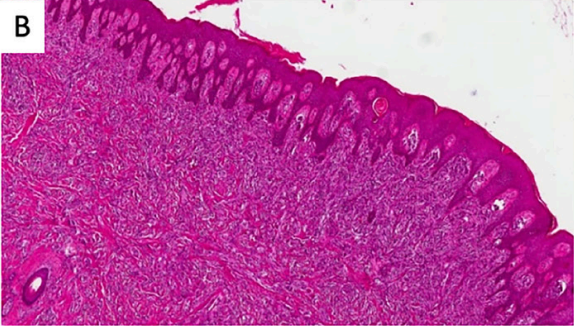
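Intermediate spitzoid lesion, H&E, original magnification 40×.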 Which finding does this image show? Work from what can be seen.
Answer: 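The epidermis along the top is thickened. Rete ridges are elongated and reach down into the dermis.
Conclusion: acanthotic epithelial reaction pattern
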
